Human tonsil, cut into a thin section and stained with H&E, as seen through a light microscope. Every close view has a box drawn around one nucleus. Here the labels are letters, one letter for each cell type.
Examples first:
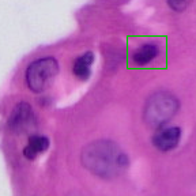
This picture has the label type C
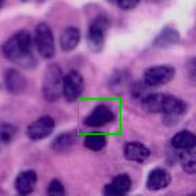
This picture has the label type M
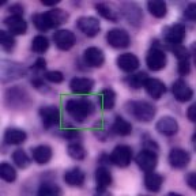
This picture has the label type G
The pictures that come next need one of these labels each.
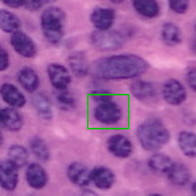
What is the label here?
type M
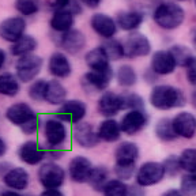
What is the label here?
type G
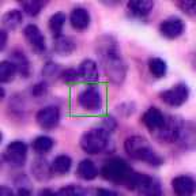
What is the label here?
type G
